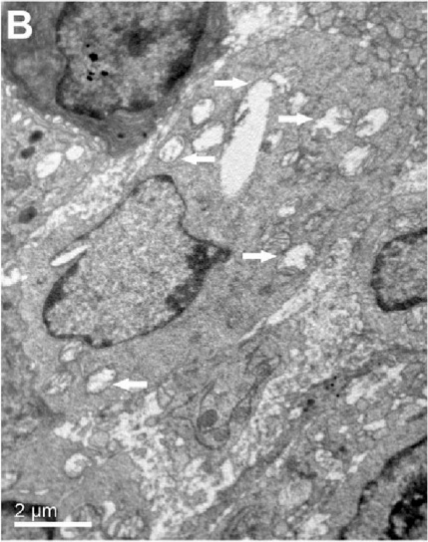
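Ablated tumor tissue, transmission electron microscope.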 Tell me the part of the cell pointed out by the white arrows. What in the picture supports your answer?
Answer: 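Distended mitochondria. Their interiors are electron-lucent, with little internal structure left. They lie scattered in the cytoplasm around the nucleus.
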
